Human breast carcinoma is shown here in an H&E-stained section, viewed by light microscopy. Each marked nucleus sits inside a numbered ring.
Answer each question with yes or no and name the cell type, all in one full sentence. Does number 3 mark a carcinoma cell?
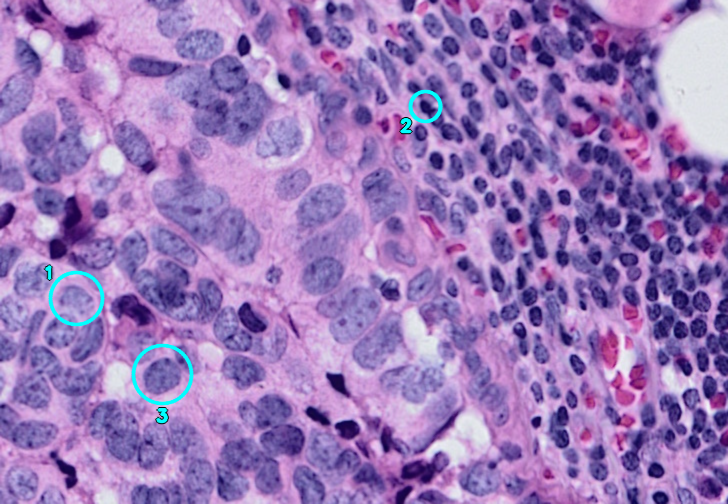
Yes, the cell referred to as number 3 is a carcinoma cell.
